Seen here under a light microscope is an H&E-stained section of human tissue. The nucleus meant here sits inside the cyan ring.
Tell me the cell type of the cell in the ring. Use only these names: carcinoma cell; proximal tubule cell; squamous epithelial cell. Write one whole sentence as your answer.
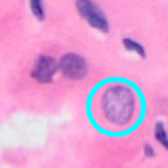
Students should answer that the cell in the ring is a proximal tubule cell.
